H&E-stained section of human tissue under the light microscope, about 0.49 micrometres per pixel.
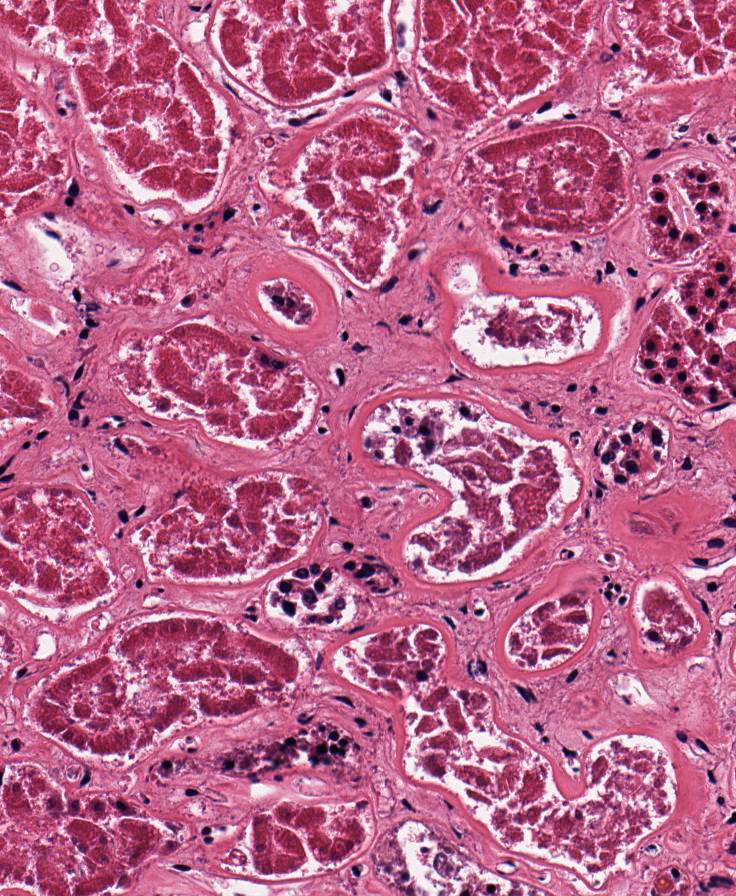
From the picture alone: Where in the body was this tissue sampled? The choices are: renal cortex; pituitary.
renal cortex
